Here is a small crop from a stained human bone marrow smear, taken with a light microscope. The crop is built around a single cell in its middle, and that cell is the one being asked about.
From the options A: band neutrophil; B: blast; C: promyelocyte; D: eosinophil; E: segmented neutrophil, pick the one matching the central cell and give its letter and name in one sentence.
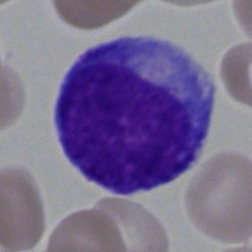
The cell at the centre is a promyelocyte, and option C accordingly is correct.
